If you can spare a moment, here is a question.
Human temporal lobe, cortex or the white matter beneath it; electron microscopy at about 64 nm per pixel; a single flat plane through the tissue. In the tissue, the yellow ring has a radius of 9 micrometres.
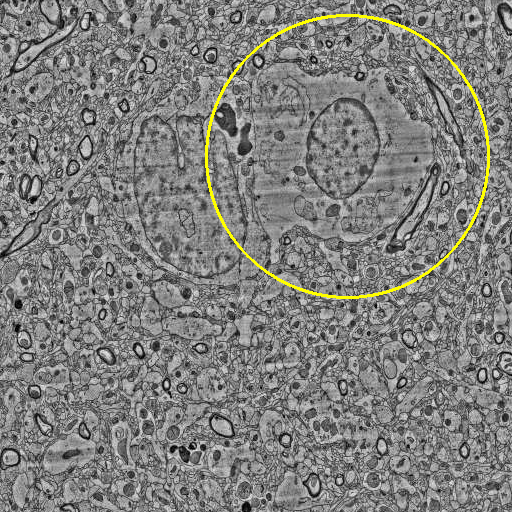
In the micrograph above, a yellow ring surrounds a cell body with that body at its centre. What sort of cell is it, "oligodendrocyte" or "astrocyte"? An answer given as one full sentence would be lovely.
Centred inside the yellow ring, the cell body shown belongs to an astrocyte in this micrograph.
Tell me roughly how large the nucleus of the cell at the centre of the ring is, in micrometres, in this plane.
The ringed cell's nucleus is about 6 micrometres long and 5 micrometres wide in this plane.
